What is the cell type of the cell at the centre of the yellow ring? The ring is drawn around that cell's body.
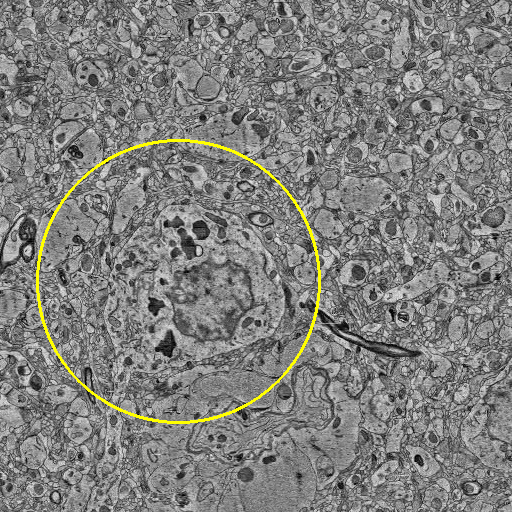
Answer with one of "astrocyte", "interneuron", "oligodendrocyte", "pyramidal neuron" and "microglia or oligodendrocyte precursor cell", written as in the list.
interneuron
